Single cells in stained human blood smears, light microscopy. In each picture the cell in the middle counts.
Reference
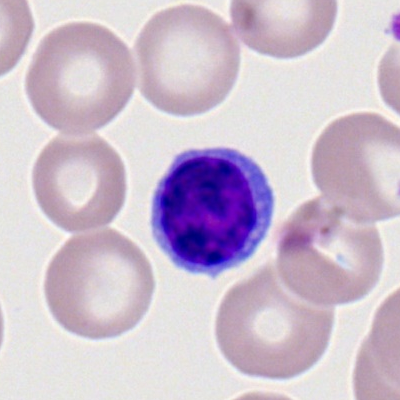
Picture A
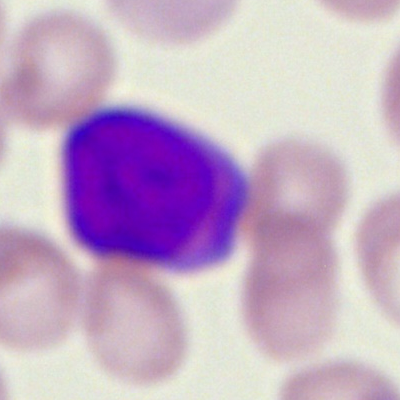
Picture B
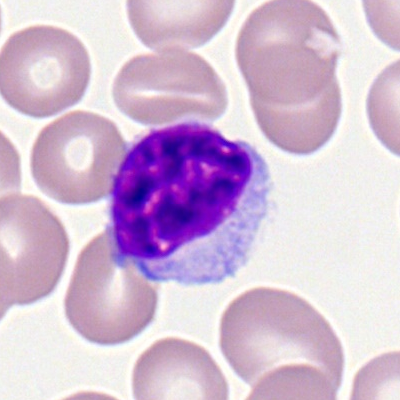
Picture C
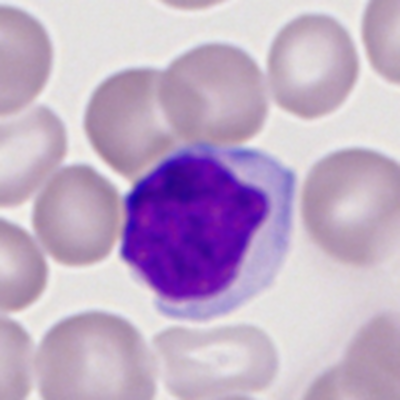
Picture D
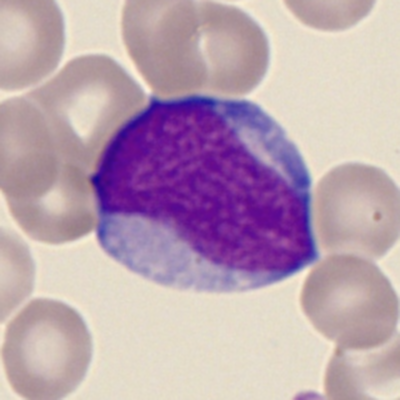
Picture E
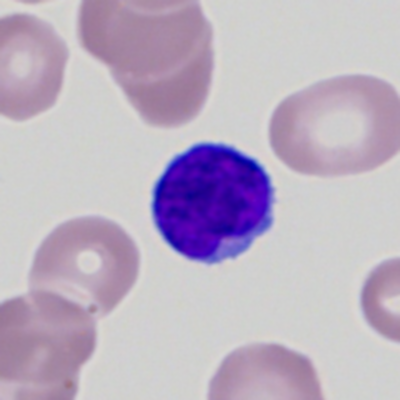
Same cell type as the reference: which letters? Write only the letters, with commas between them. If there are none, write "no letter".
B, C, E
